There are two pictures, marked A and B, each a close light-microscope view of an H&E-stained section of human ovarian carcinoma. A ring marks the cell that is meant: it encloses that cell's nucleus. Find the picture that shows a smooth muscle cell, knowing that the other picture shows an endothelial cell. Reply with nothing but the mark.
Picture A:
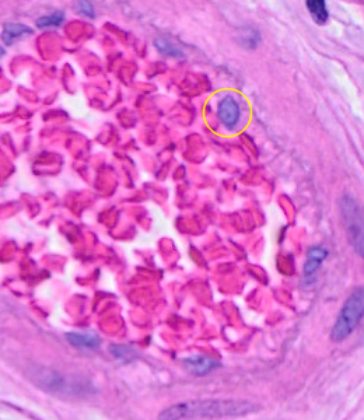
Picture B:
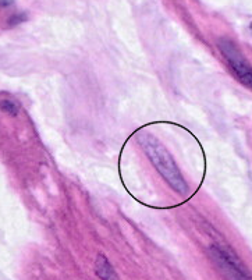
B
